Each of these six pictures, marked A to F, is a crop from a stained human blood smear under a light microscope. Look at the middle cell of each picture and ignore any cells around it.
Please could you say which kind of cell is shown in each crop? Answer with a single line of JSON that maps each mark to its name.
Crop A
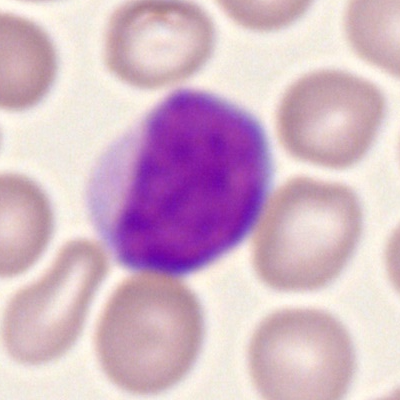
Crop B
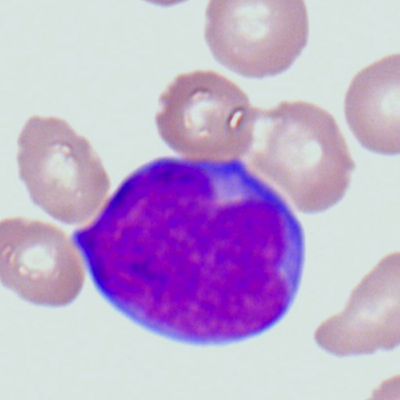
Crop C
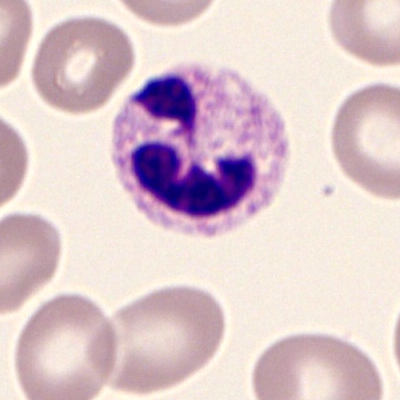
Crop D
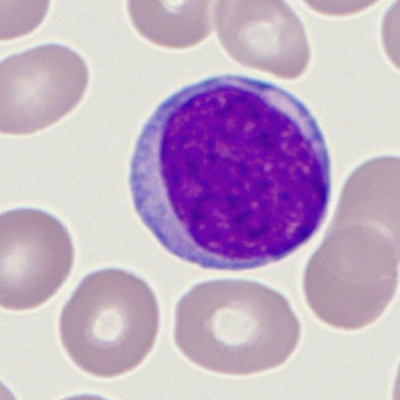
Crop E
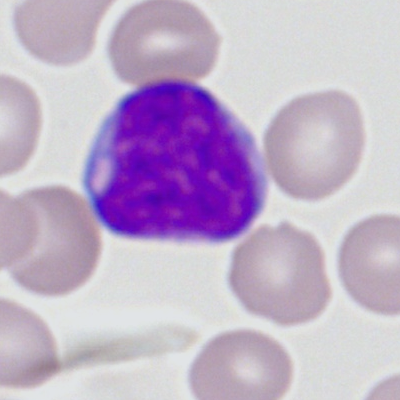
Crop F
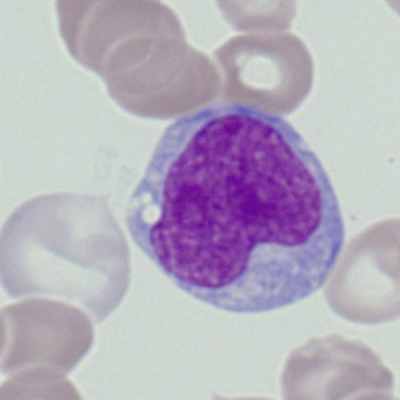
{"A": "blast", "B": "blast", "C": "neutrophil", "D": "blast", "E": "blast", "F": "blast"}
